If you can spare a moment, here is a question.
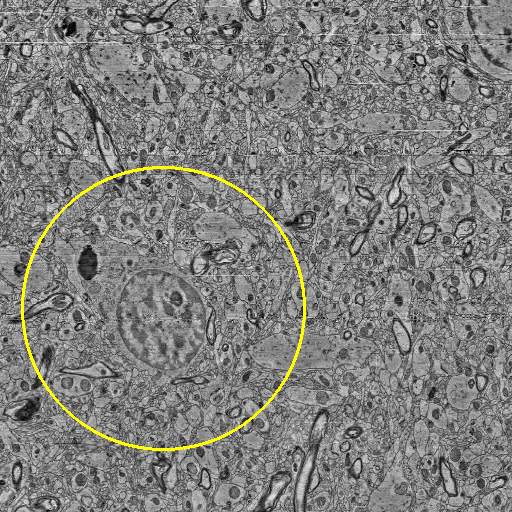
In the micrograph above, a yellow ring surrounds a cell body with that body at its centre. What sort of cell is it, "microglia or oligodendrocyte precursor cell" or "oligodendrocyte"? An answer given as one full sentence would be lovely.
Centred inside the yellow ring, the cell body shown belongs to an oligodendrocyte in this micrograph.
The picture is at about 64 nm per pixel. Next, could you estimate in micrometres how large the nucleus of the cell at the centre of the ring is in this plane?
Roughly 7 by 6 micrometres is the size of the nucleus in this plane.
